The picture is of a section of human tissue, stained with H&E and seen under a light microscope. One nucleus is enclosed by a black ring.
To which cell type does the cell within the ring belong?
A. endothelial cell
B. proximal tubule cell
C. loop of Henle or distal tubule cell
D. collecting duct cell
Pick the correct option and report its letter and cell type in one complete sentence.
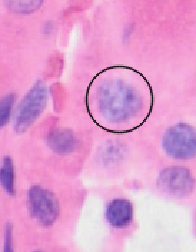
Option C is the right one; the cell within the ring is a loop of Henle or distal tubule cell.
